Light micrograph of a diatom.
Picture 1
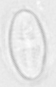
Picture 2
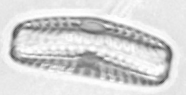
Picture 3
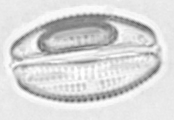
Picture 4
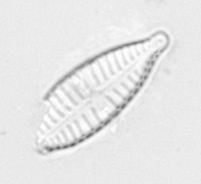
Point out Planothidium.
That is picture 2.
